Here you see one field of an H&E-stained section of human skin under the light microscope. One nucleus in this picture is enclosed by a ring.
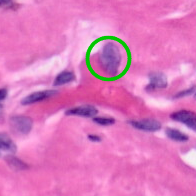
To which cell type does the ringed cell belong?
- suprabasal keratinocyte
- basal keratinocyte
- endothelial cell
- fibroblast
endothelial cell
